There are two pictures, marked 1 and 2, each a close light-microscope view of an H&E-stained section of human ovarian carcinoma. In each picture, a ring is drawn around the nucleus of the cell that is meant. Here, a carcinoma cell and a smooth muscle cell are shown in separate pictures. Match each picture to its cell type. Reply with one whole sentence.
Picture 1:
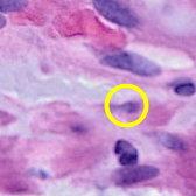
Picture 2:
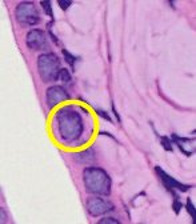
It is picture 1 that shows a smooth muscle cell, and picture 2 that shows a carcinoma cell.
